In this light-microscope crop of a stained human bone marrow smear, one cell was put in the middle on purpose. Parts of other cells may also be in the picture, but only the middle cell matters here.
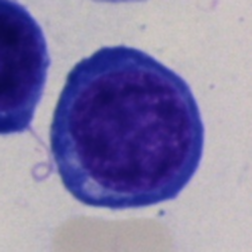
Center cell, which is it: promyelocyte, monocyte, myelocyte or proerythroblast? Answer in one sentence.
The cell at the central position in this crop is a proerythroblast.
